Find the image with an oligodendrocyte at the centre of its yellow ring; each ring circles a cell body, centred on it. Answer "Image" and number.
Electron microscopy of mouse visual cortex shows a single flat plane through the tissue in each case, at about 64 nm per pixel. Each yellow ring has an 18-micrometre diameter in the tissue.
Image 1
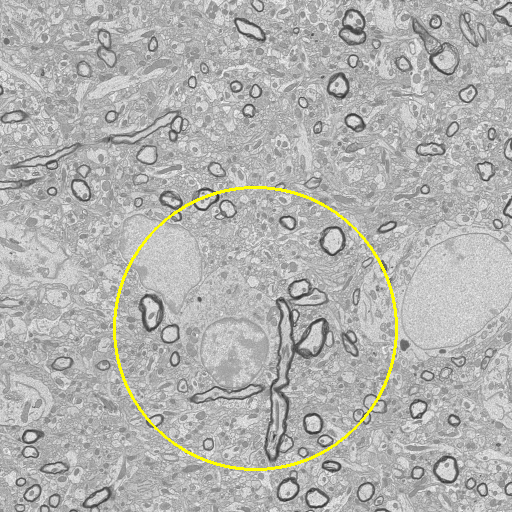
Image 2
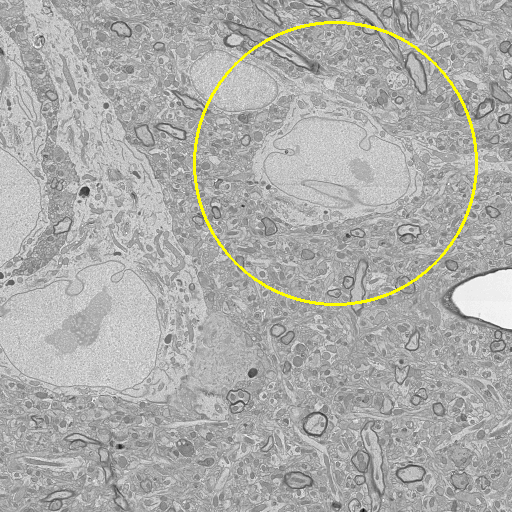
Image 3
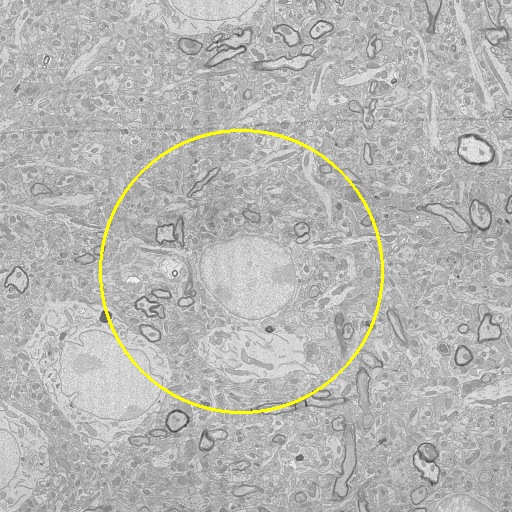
Image 1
